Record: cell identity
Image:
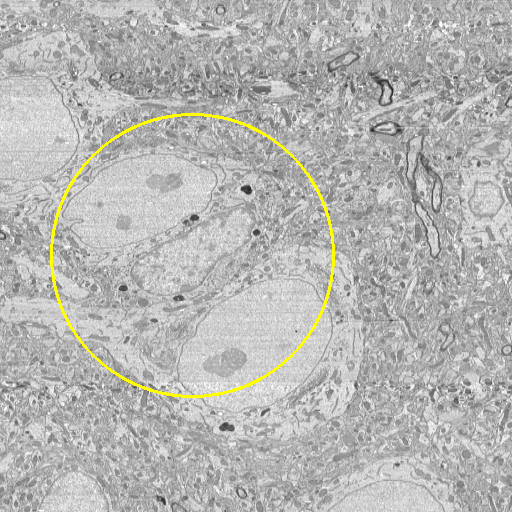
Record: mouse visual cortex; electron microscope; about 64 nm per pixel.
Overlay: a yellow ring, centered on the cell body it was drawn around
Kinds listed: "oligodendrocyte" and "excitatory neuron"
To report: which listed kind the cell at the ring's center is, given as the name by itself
oligodendrocyte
